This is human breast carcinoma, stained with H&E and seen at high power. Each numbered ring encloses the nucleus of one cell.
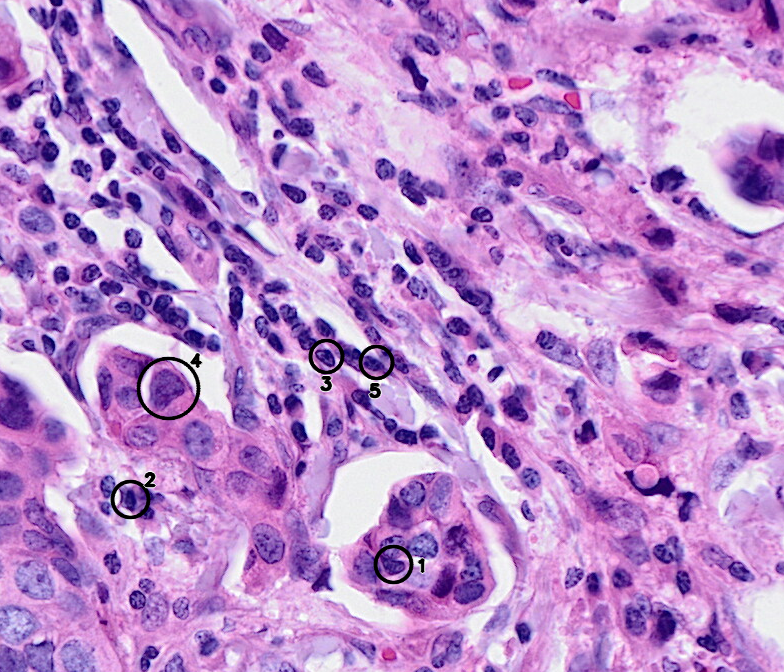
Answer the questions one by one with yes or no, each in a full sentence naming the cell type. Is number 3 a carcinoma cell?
No, cell 3 is not a carcinoma cell. It is a lymphocyte.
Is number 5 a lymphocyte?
Yes, the cell that has number 5 is a lymphocyte.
